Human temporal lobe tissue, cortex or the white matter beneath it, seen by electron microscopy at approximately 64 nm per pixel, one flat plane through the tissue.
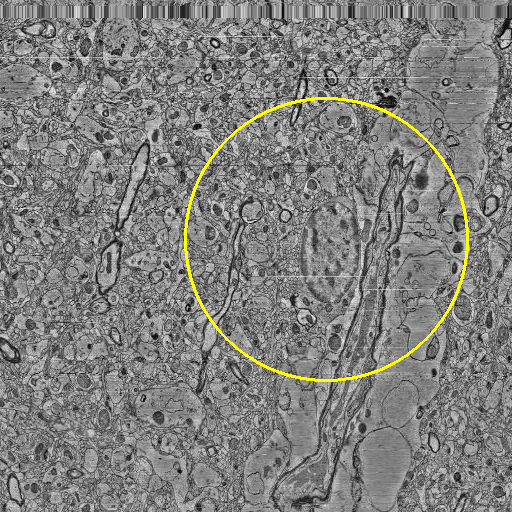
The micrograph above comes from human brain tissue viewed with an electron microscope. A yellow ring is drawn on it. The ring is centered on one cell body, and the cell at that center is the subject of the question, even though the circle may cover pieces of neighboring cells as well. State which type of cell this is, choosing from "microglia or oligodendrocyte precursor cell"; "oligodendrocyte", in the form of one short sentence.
The cell the ring is centered on is an oligodendrocyte.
